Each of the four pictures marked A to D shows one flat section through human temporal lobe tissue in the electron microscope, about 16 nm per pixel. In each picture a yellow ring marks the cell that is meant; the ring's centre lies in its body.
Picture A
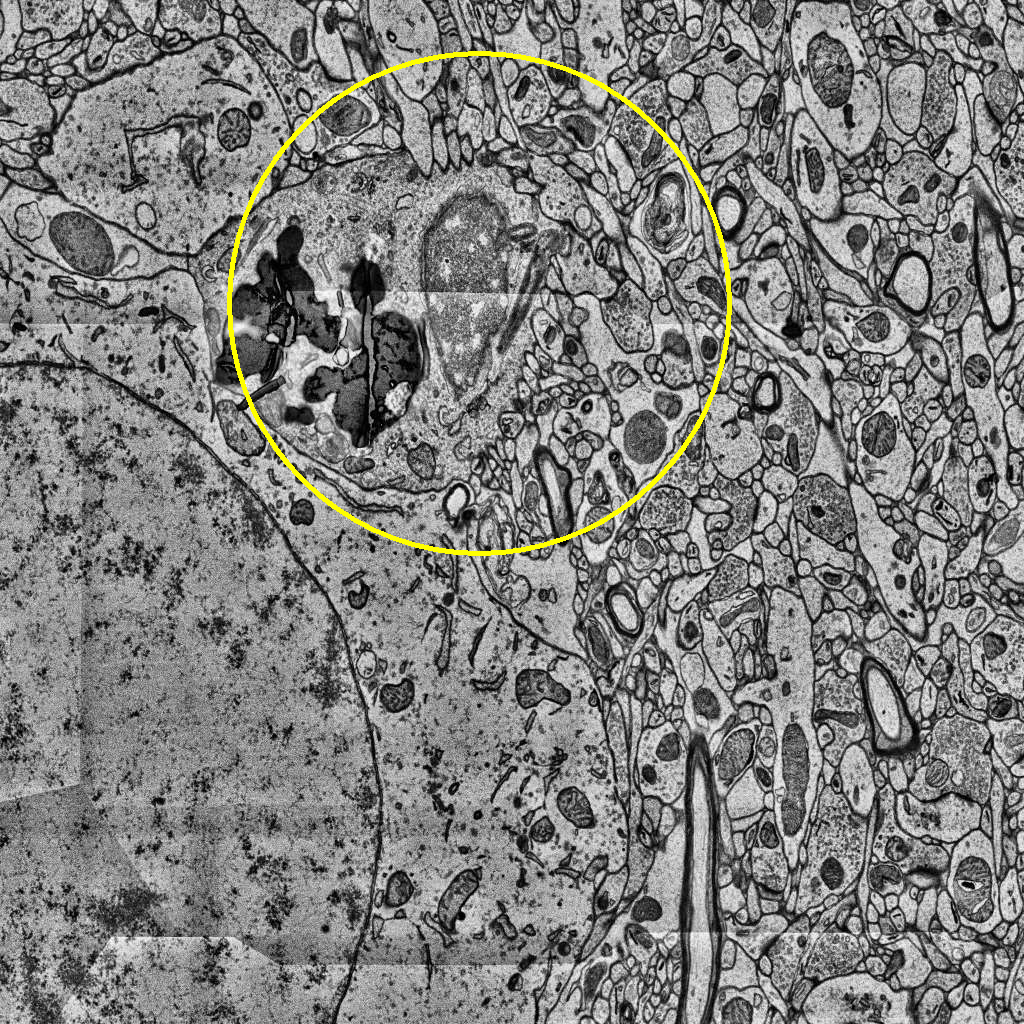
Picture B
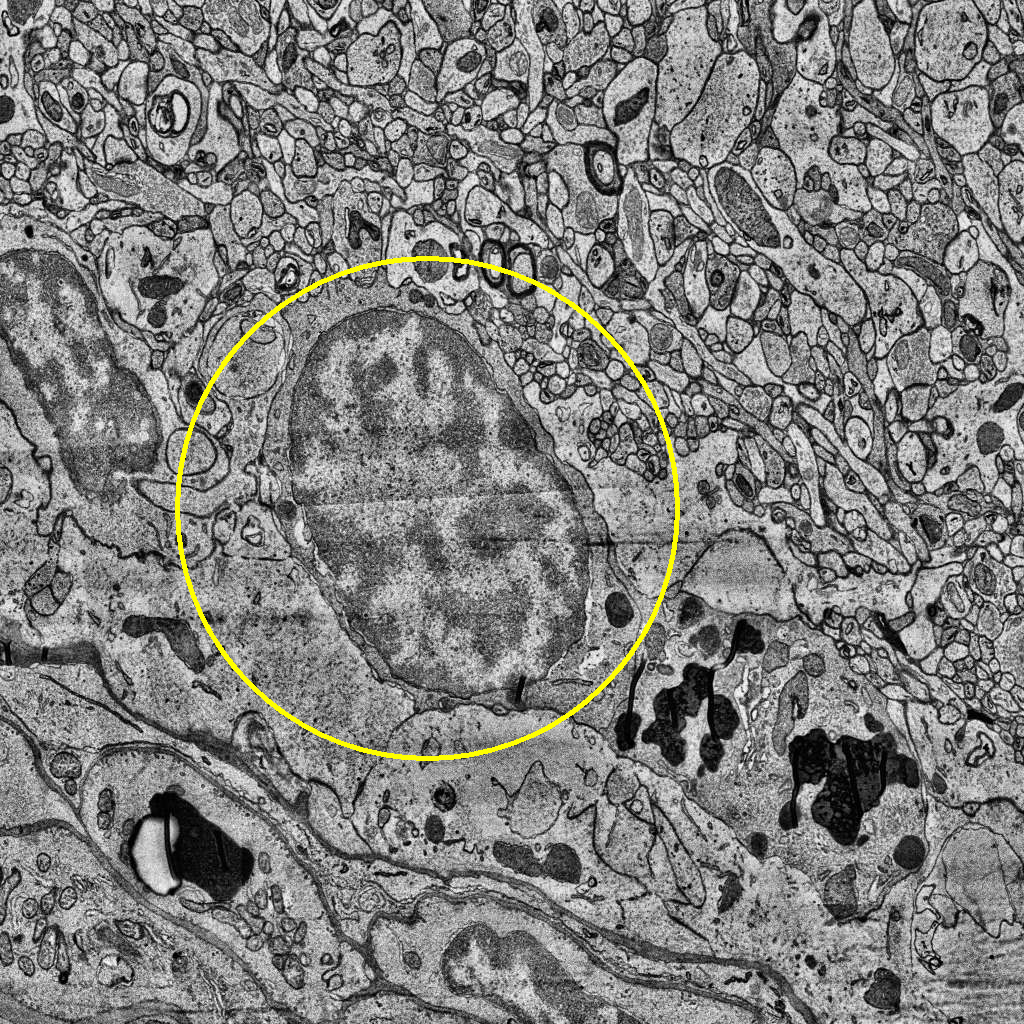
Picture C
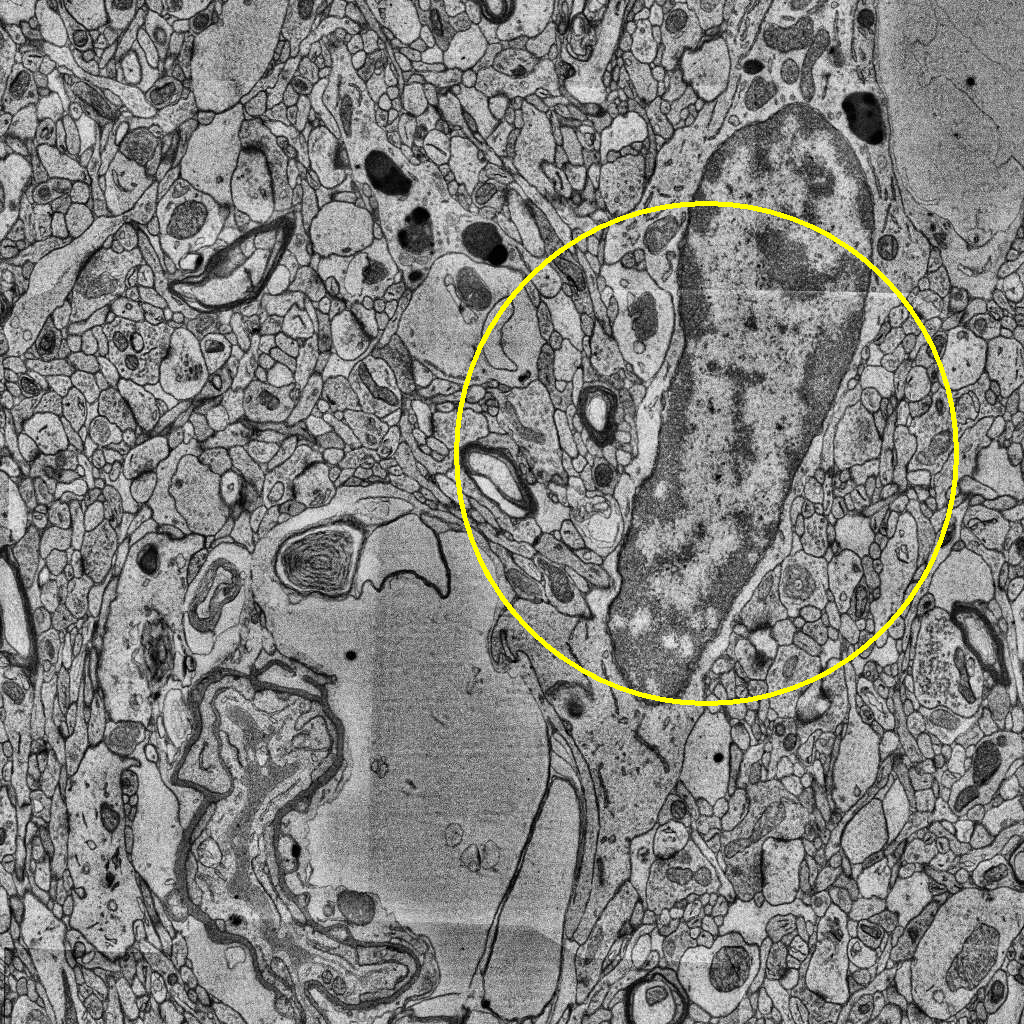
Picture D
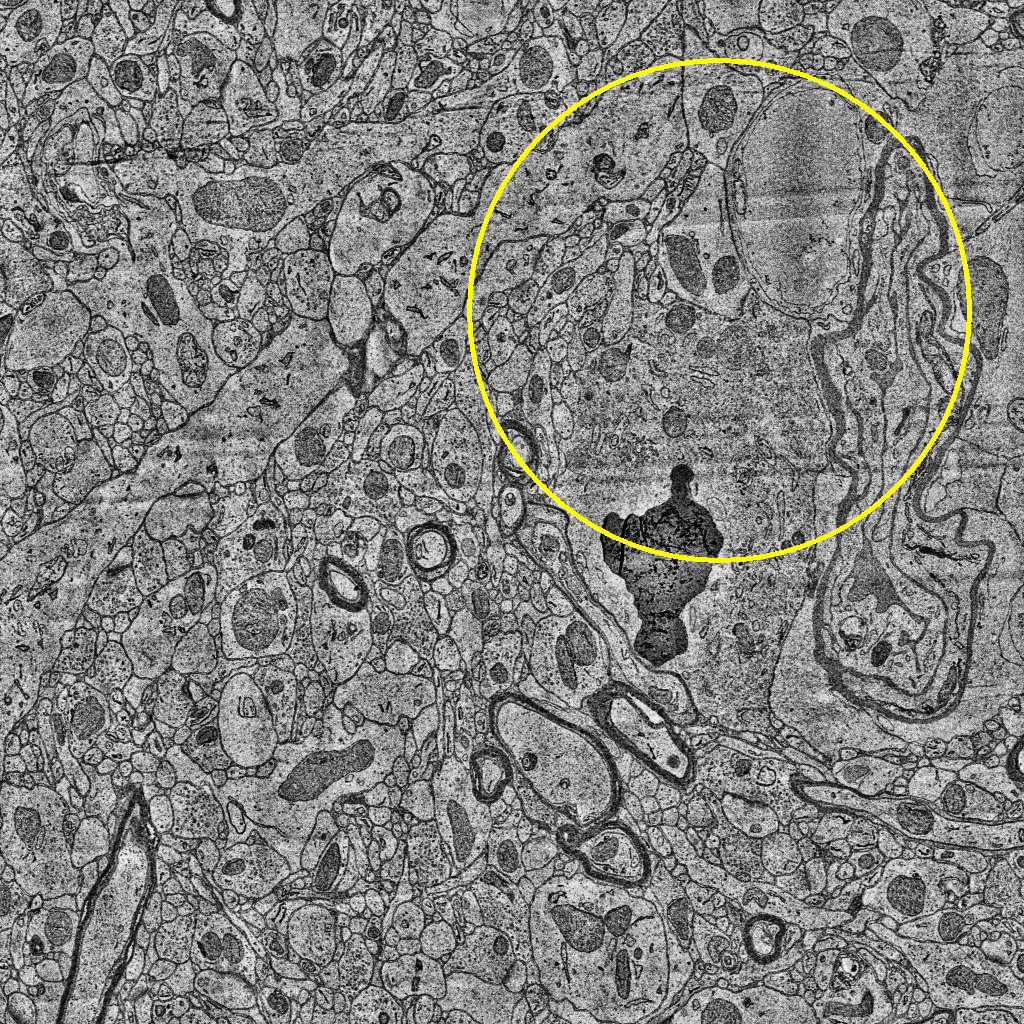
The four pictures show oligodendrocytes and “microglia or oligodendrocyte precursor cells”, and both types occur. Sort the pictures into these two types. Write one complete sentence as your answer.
Pictures A, B and D show oligodendrocytes; picture C shows a “microglia or oligodendrocyte precursor cell”.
